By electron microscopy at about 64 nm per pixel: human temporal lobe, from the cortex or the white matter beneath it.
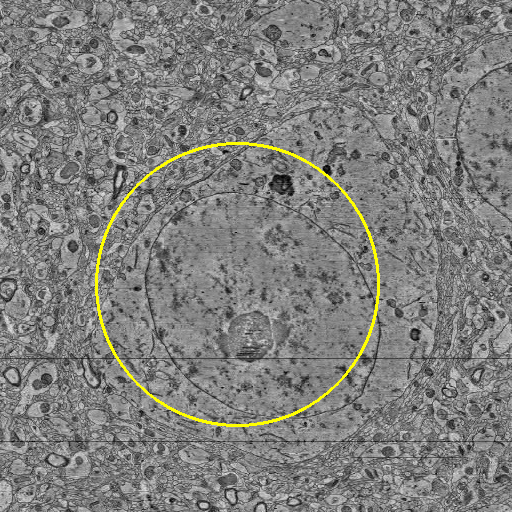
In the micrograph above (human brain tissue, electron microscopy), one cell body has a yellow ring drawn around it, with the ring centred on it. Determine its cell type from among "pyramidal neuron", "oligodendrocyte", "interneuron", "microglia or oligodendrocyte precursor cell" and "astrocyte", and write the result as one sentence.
The cell whose body is ringed is a pyramidal neuron.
